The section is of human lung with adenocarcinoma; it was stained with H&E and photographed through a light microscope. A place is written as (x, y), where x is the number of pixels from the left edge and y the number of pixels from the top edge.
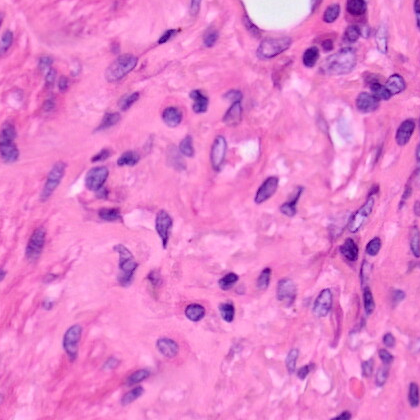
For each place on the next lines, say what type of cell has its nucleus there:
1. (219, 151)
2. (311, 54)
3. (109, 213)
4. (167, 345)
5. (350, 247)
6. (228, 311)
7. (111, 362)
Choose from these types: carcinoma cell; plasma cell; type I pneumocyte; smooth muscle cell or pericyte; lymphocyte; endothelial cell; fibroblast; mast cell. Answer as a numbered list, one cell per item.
1. endothelial cell
2. lymphocyte
3. plasma cell
4. mast cell
5. plasma cell
6. lymphocyte
7. smooth muscle cell or pericyte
